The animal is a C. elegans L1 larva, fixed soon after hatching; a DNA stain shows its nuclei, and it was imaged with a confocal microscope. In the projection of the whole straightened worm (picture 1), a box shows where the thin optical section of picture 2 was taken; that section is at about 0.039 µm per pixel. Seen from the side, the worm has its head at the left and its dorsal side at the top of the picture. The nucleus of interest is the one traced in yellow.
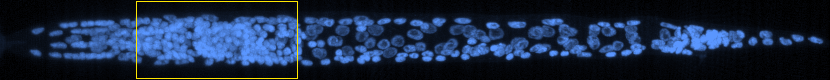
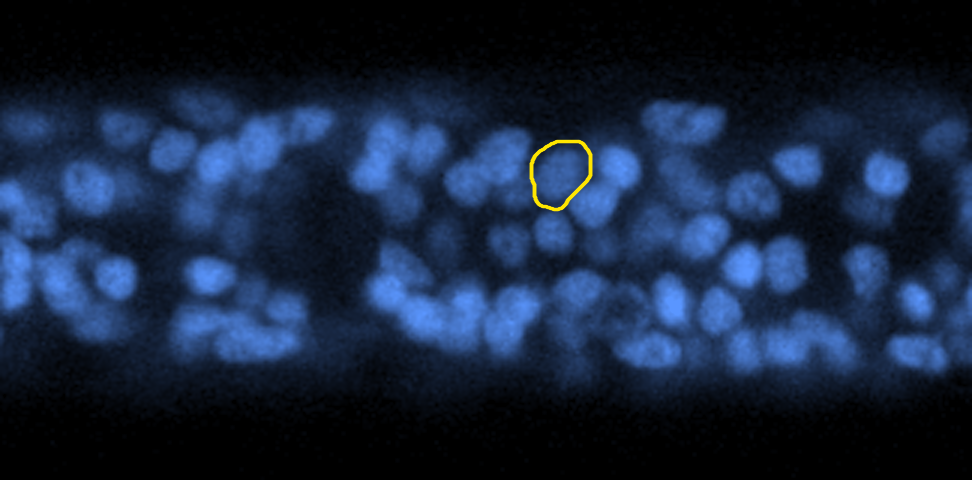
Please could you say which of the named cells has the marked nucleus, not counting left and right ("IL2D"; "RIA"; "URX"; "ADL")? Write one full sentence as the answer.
This is the nucleus of ADL, a neuron.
